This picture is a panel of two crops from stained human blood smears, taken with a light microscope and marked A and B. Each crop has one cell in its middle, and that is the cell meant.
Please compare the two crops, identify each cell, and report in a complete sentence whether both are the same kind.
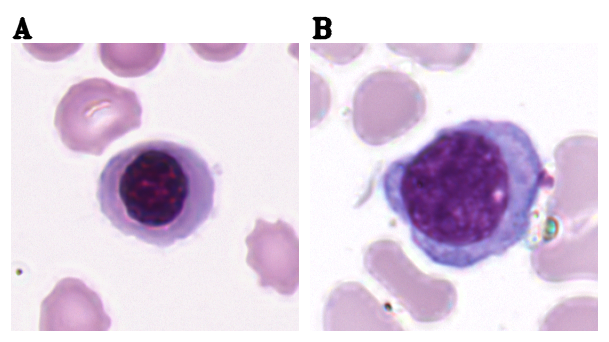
No, crop A features a normoblast, while crop B features a plasma cell.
